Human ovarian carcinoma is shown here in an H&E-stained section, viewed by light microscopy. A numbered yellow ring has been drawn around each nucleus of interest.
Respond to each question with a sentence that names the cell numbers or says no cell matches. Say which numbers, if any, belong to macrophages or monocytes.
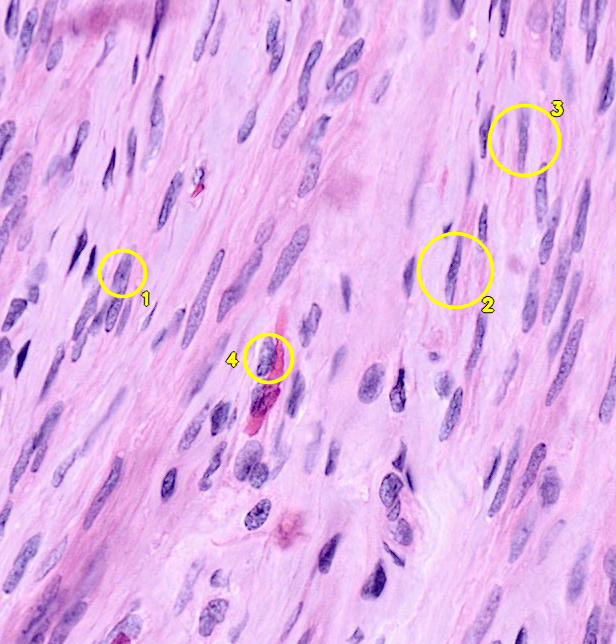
The numbered cells and the macrophages or monocytes have no member in common.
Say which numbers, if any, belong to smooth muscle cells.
Cells 1, 2 and 3 are smooth muscle cells by cell type.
